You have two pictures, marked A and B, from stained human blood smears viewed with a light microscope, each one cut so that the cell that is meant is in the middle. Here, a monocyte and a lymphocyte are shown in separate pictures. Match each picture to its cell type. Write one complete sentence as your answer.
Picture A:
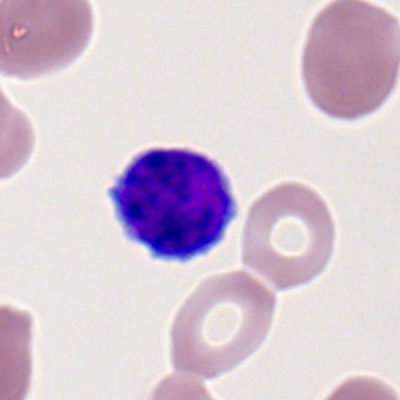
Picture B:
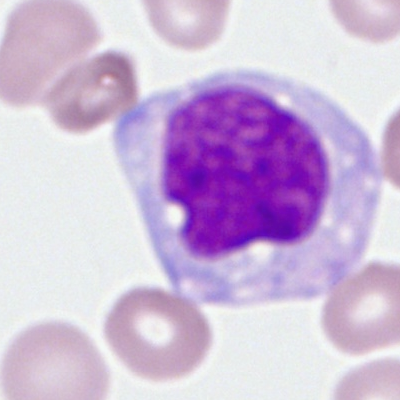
Picture B shows a monocyte, while picture A shows a lymphocyte.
